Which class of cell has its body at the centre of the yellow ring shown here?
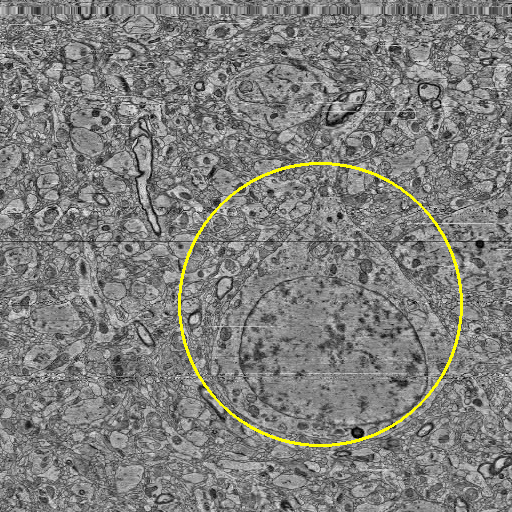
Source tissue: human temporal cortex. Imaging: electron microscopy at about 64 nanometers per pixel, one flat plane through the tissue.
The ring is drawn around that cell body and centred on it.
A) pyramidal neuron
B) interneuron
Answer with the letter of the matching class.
A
